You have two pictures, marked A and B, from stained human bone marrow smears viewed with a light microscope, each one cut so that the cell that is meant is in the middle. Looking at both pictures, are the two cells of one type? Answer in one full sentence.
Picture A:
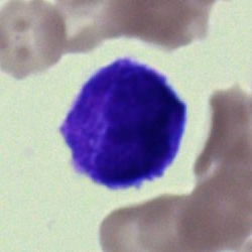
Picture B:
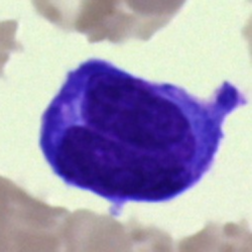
Yes, they are the same type: both are blasts.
